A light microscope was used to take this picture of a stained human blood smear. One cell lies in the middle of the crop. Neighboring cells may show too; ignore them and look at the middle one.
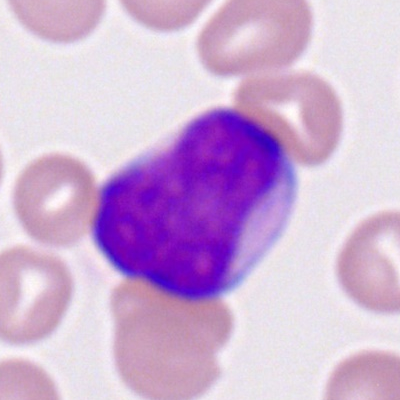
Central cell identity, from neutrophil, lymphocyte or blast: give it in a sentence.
The center cell of this crop is a blast.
